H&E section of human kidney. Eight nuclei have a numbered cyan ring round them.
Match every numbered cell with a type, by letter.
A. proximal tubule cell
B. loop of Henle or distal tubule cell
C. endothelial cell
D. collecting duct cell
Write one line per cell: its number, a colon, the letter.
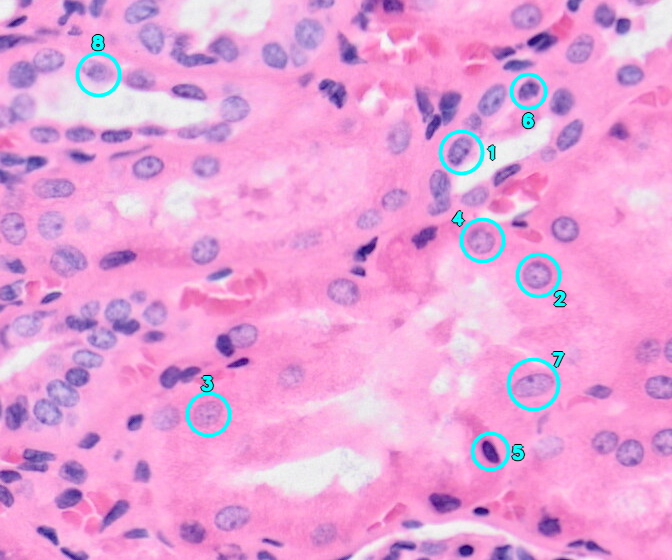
1: D
2: A
3: A
4: A
5: A
6: D
7: A
8: B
